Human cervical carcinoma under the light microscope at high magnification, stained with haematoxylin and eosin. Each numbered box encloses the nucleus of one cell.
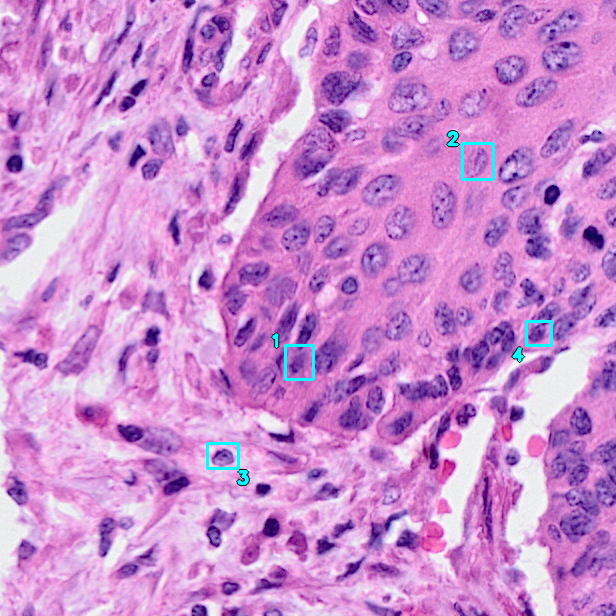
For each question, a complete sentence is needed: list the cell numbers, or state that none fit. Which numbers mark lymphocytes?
Cell 3 is a lymphocyte, and it is the only numbered cell that is.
